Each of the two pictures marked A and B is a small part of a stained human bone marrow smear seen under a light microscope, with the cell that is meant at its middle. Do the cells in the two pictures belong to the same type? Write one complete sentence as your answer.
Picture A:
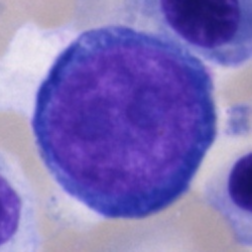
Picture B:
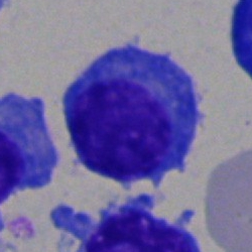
No, the types are not the same, since picture A shows a proerythroblast and picture B a plasma cell.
